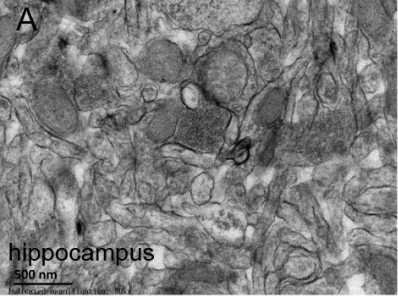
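Numerous membrane-bound profiles of varying size and shape fill the field. Several large oval mitochondria with visible internal cristae lie within the profiles. Between them run thin dark membranes, and some small round profiles appear scattered throughout. The overall texture is dense and finely granular.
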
